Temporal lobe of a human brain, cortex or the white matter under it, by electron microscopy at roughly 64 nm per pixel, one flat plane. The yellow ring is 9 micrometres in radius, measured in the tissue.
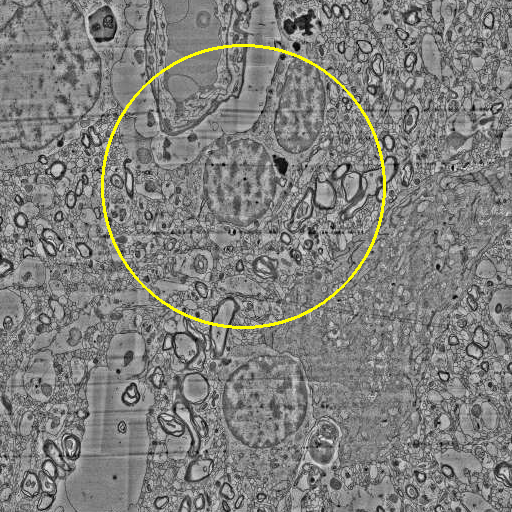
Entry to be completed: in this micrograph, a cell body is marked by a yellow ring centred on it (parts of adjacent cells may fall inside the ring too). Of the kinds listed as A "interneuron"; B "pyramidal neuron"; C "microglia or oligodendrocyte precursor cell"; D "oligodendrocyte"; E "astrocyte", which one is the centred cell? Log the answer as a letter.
D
